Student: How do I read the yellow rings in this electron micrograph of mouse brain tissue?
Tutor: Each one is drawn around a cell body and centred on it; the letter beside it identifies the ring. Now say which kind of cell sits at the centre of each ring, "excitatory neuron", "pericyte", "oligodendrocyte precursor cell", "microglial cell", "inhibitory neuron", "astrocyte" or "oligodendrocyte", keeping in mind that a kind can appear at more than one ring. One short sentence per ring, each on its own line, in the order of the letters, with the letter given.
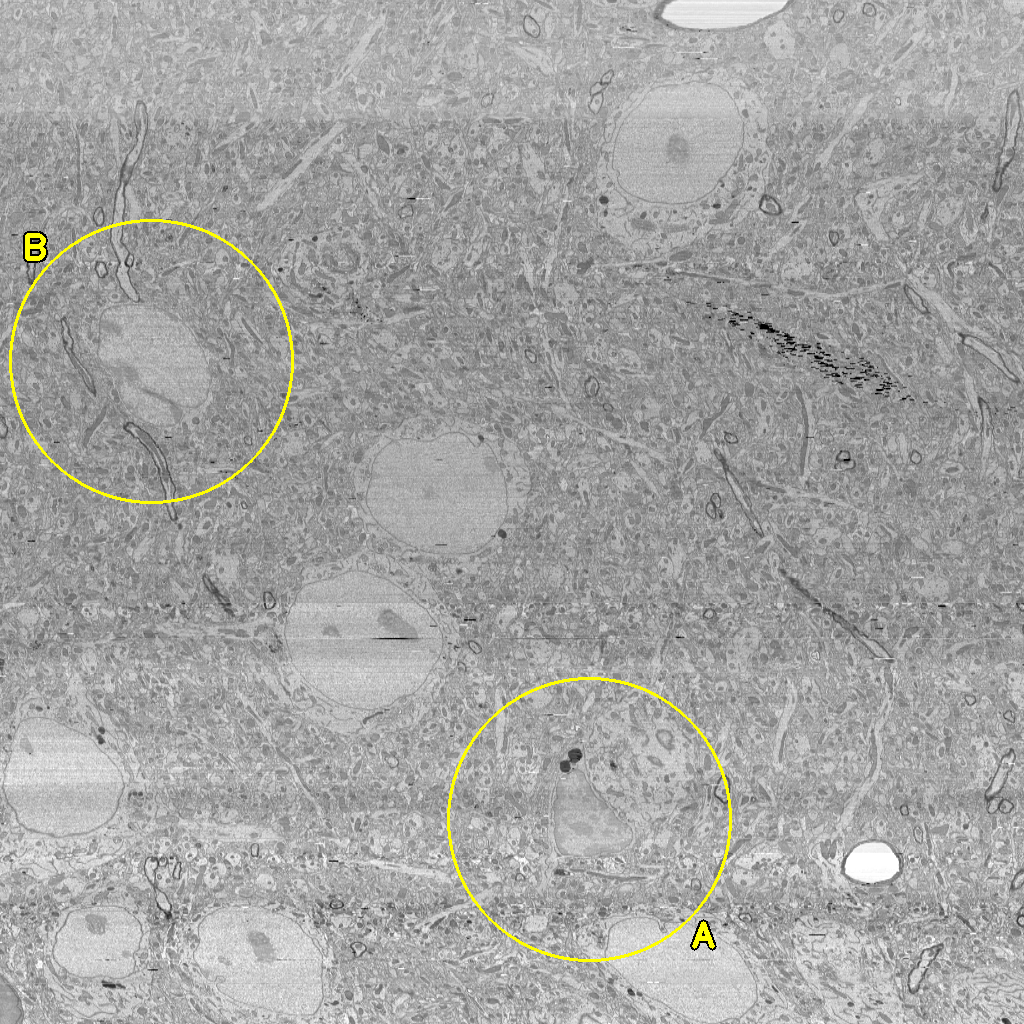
In the centre of ring A is a microglial cell.
In the centre of ring B is an astrocyte.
